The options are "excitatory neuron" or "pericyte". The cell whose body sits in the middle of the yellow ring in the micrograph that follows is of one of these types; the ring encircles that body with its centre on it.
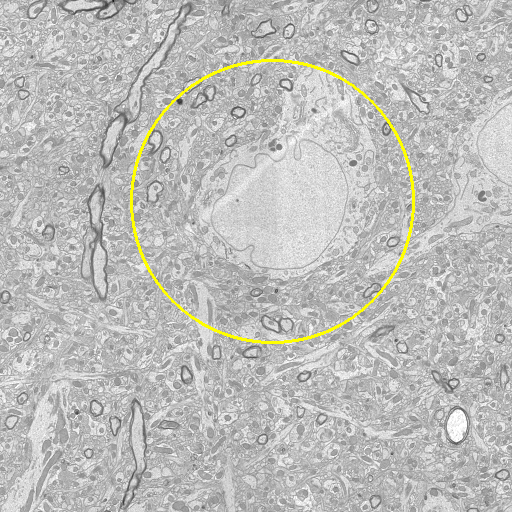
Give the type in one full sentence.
Going by the micrograph, the cell centred in the yellow ring is an excitatory neuron.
